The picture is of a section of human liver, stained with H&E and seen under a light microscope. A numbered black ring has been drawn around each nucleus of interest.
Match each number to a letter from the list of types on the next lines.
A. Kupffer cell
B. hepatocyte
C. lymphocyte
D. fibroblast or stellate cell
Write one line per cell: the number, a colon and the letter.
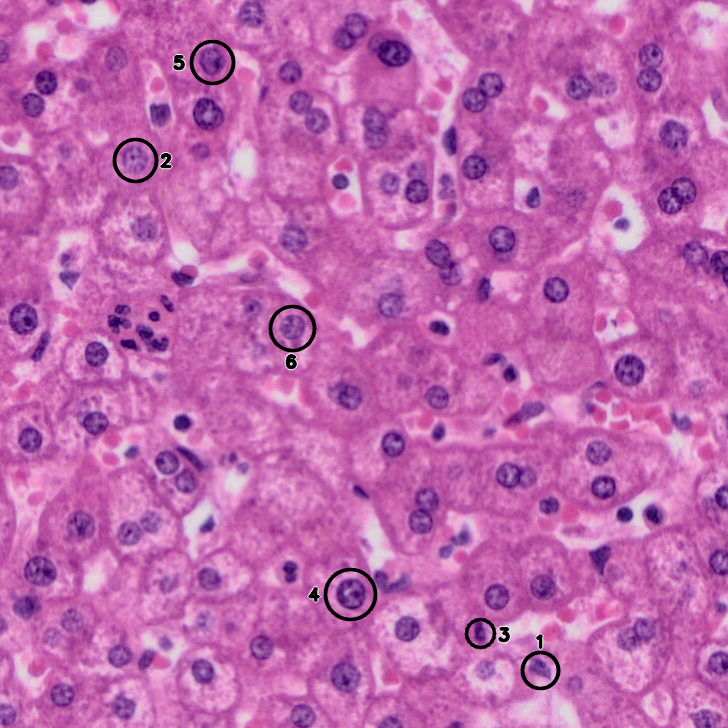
1: D
2: B
3: D
4: B
5: B
6: B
